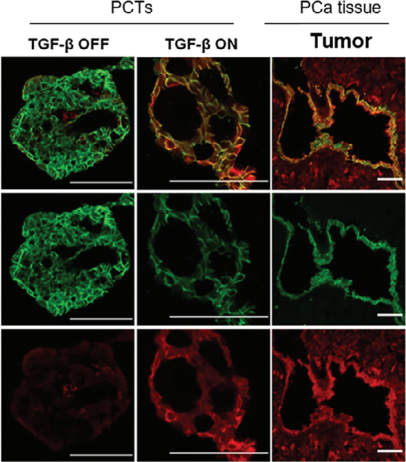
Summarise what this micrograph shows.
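In the first column a compact, rounded cluster of cells has bright green outlines at every cell border in a honeycomb pattern, with only faint red. In the second column the cell cluster is thinner and more open, and its cell borders carry both green and red, overlapping as yellow-orange in the merged image. In the tissue section a band of epithelial cells lines an open space, with green and red at the cell borders and red also spread into the surrounding tissue.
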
